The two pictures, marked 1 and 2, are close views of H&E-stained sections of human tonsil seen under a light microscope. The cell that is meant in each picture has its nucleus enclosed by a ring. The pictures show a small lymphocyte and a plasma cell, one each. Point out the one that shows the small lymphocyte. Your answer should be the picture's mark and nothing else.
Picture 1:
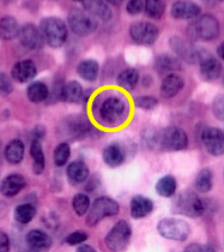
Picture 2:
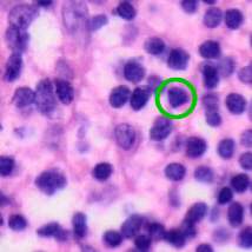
2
